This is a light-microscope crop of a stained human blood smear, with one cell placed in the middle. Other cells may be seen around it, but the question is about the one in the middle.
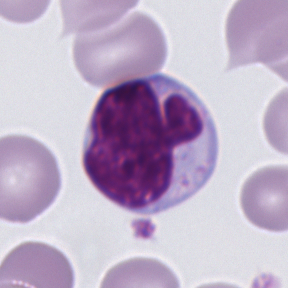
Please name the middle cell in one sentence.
Within this crop, a large granular lymphocyte occupies the central position.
